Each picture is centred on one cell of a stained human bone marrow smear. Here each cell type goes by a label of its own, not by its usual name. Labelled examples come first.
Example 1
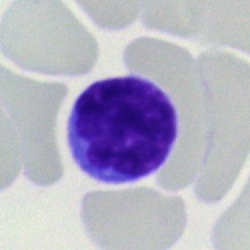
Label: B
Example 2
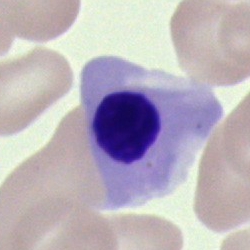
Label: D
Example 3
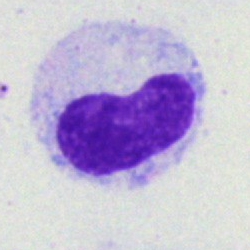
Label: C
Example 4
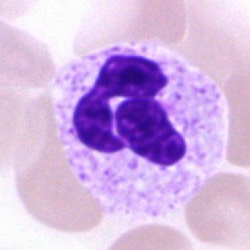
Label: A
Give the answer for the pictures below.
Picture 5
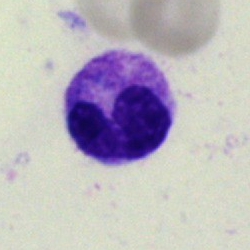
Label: A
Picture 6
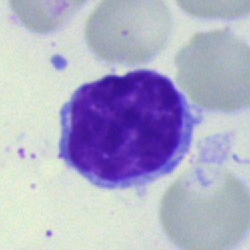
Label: B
